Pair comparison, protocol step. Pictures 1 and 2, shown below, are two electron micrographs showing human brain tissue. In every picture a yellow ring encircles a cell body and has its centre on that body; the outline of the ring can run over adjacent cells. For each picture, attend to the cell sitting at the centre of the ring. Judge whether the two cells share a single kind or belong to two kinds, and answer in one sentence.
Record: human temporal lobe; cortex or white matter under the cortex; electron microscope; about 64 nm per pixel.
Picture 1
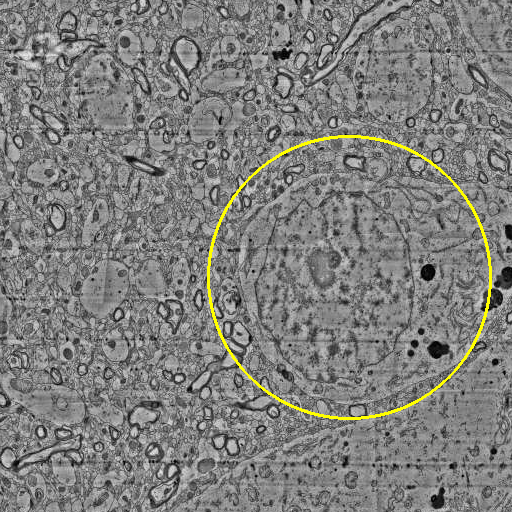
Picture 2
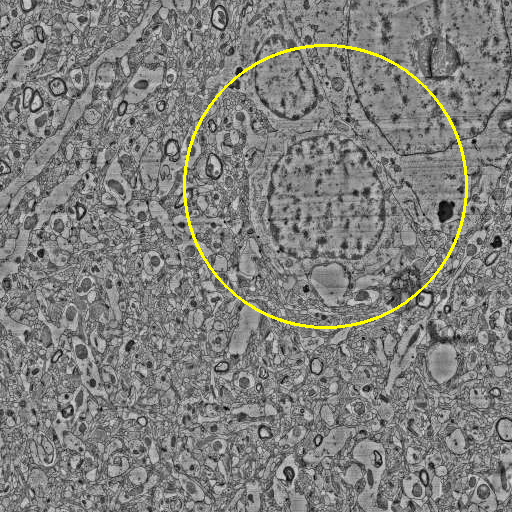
The two cells at the ring centres in Picture 1 and Picture 2 share a single kind.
